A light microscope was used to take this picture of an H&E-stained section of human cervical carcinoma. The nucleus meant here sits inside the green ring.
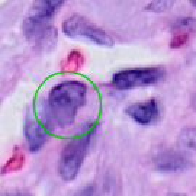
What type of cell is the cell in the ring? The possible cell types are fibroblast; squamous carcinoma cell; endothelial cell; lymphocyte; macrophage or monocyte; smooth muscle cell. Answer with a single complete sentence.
It is as an endothelial cell that the cell in the ring is recorded.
